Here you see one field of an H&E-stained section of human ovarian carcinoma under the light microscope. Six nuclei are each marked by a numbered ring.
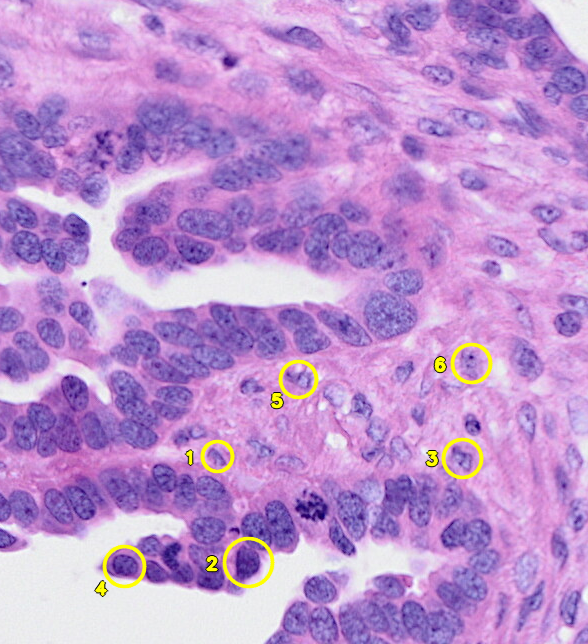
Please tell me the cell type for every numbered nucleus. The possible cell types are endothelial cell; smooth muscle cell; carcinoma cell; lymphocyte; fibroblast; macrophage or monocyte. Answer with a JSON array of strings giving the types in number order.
["fibroblast", "carcinoma cell", "fibroblast", "carcinoma cell", "fibroblast", "fibroblast"]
